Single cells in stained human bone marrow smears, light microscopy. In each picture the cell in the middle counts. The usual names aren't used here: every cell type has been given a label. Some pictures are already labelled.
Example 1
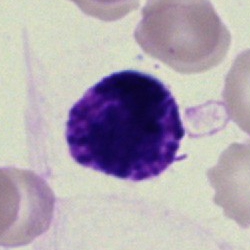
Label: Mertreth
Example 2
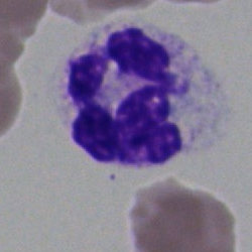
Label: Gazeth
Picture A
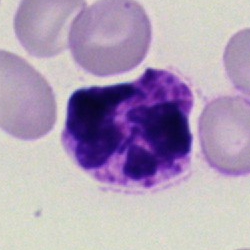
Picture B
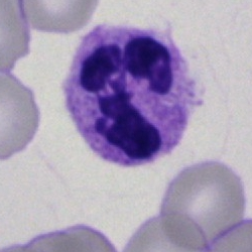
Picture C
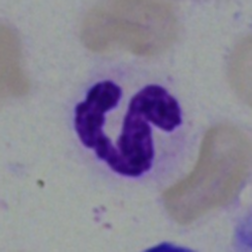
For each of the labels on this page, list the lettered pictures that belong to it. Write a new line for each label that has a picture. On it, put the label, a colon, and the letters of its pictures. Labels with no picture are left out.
Mertreth: A
Gazeth: B, C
